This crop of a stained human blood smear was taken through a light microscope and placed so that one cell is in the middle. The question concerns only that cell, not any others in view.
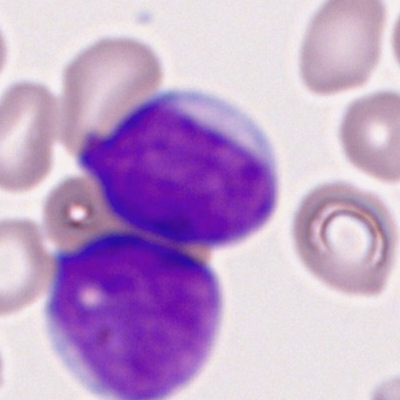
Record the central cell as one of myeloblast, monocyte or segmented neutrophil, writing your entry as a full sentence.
The central cell, amid any neighbouring cells, is a myeloblast.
